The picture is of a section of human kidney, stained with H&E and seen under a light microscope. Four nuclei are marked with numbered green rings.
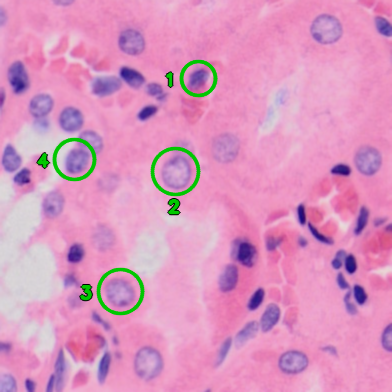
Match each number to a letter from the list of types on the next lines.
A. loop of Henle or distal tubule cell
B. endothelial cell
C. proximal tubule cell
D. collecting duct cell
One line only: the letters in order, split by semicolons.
B; C; C; A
